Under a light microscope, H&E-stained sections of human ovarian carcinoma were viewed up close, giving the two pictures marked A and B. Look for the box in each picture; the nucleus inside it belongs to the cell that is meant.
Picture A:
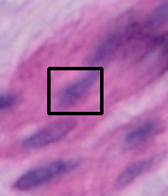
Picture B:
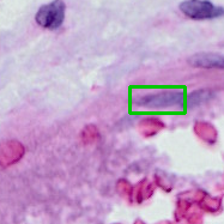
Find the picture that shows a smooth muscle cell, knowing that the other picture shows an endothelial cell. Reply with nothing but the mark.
A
